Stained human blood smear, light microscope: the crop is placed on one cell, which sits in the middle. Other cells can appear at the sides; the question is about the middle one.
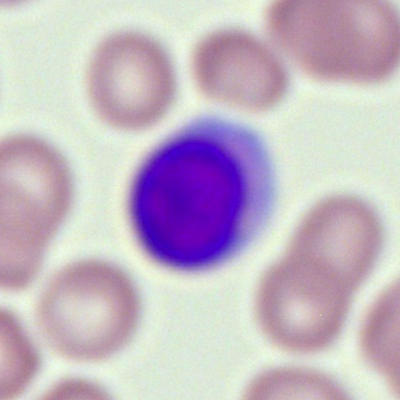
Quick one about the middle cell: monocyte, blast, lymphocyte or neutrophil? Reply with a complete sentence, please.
In short, the cell at the center is a lymphocyte.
